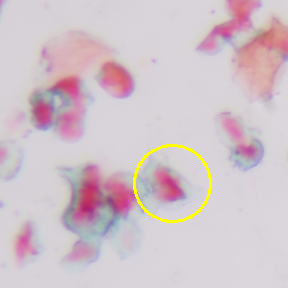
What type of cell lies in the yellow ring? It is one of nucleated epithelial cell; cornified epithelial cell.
The ringed cell is a nucleated epithelial cell.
